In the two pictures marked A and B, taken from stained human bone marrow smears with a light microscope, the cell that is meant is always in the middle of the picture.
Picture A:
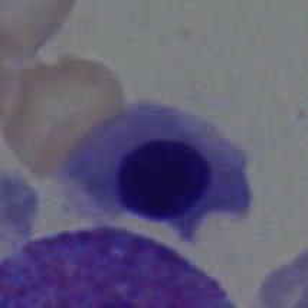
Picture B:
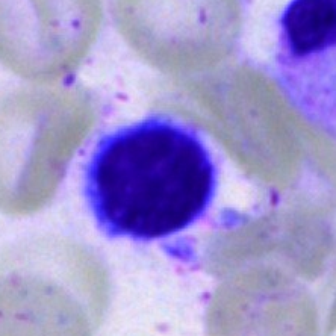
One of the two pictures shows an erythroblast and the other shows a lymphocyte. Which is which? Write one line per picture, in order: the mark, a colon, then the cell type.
A: erythroblast
B: lymphocyte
